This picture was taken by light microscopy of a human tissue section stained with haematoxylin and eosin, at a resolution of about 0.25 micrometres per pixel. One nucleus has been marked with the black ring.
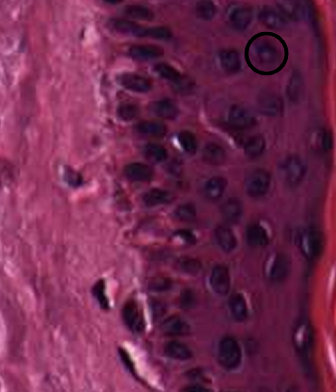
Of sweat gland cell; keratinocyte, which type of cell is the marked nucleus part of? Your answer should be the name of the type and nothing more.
keratinocyte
